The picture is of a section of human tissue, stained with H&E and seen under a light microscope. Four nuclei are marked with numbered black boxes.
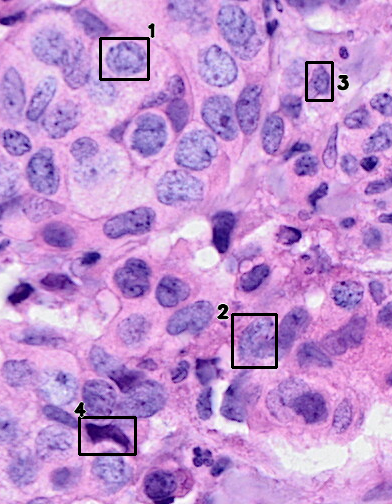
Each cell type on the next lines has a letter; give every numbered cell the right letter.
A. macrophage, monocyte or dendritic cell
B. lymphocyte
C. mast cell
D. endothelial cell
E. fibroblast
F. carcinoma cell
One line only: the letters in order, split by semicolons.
F; F; A; F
